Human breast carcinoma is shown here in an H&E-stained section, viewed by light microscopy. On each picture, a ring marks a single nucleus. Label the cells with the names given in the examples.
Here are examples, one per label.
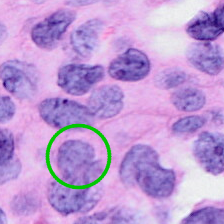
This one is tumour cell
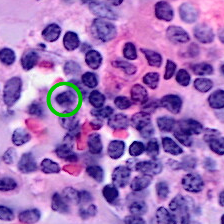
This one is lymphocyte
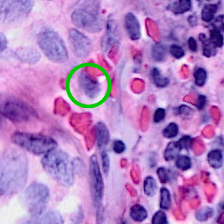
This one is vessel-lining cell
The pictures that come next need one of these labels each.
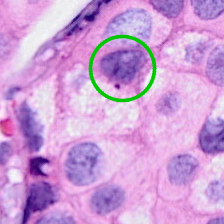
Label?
tumour cell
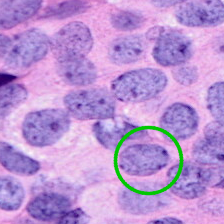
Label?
tumour cell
